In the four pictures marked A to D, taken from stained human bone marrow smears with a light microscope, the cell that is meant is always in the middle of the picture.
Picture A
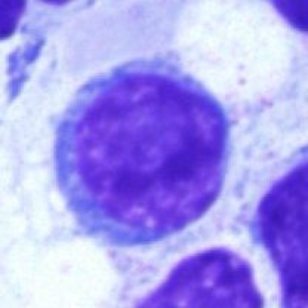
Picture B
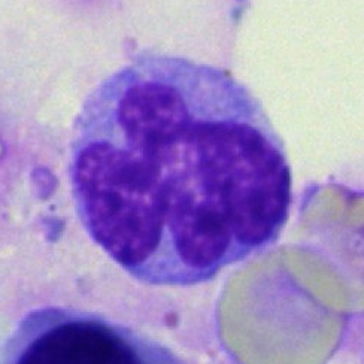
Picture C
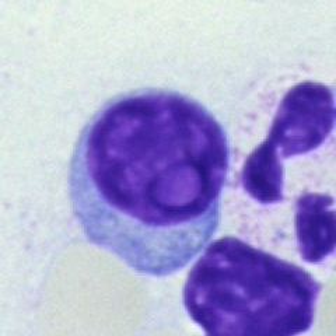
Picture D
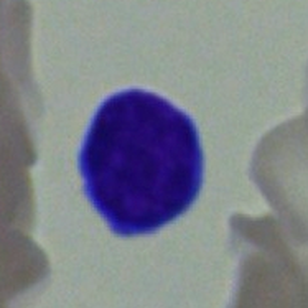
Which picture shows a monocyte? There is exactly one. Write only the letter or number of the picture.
B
